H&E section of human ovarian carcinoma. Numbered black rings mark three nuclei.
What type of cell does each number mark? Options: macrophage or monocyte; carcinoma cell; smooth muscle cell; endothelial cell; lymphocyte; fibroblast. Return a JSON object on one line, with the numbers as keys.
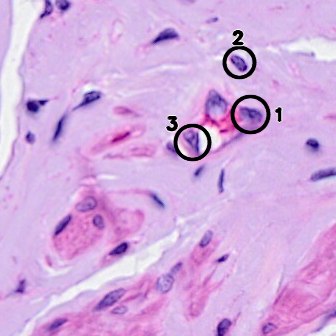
{"1": "endothelial cell", "2": "lymphocyte", "3": "endothelial cell"}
